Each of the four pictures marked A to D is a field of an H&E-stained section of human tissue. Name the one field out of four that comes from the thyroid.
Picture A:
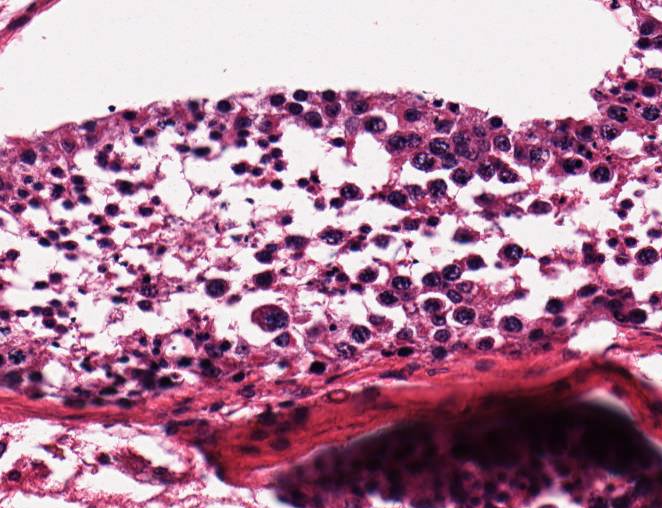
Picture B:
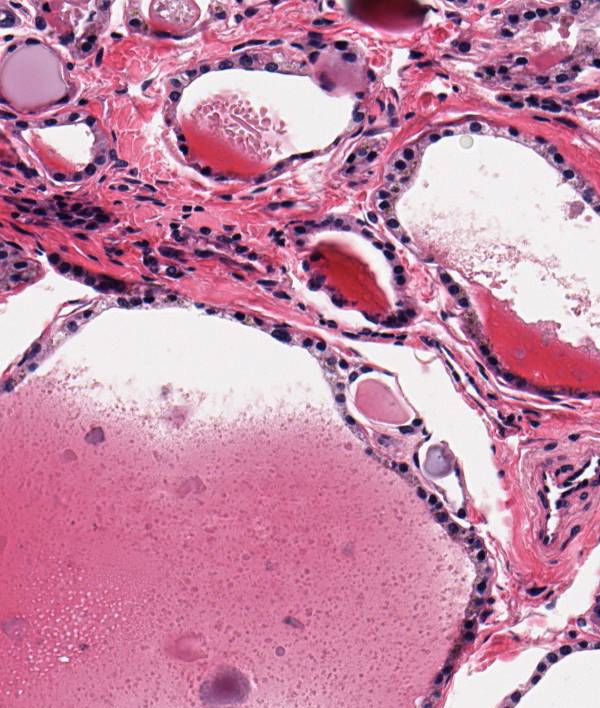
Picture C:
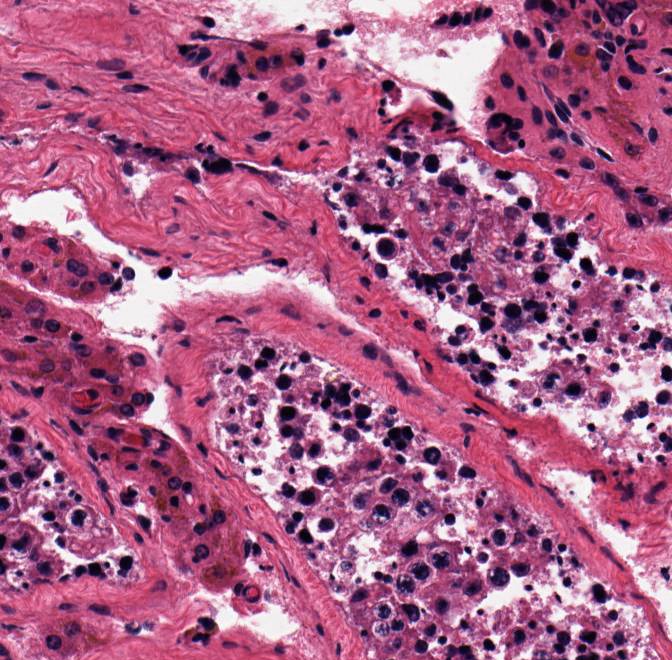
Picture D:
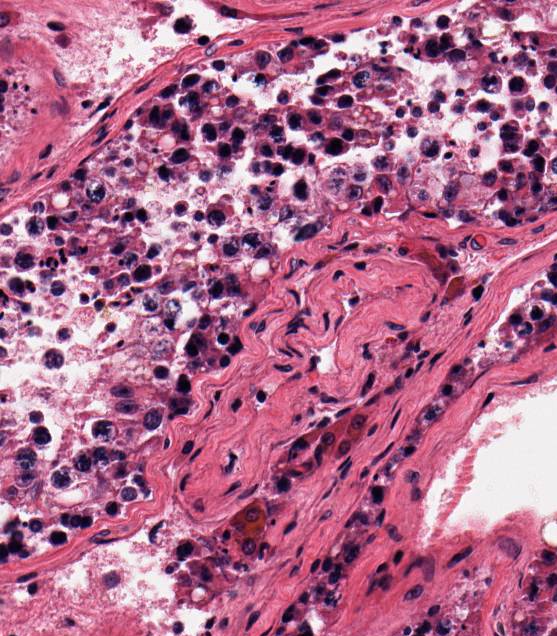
B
